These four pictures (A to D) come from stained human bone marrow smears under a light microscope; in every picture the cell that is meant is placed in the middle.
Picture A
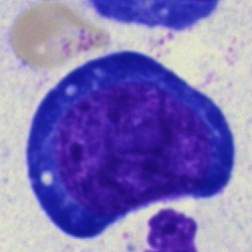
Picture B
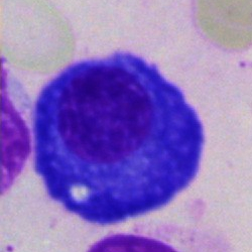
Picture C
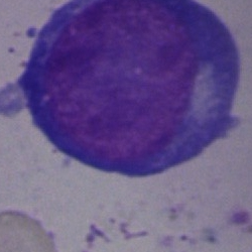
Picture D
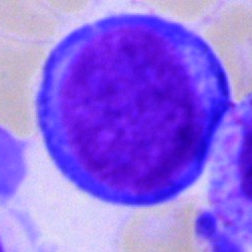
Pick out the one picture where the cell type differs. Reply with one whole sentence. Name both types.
Picture B differs, because its cell is a plasma cell and the rest are proerythroblasts.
